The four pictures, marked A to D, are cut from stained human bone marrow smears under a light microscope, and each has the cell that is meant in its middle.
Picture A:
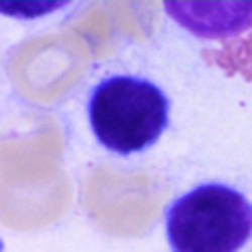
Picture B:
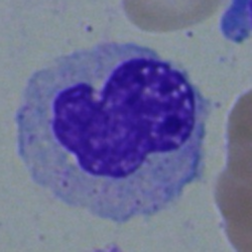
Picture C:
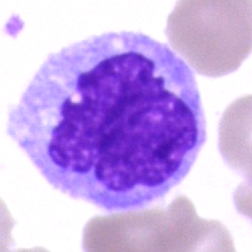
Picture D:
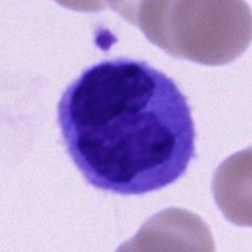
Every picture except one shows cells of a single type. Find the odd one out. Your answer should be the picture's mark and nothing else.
A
